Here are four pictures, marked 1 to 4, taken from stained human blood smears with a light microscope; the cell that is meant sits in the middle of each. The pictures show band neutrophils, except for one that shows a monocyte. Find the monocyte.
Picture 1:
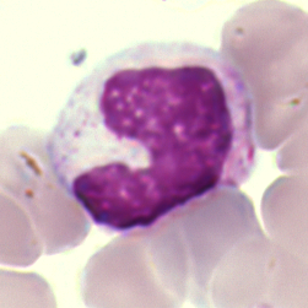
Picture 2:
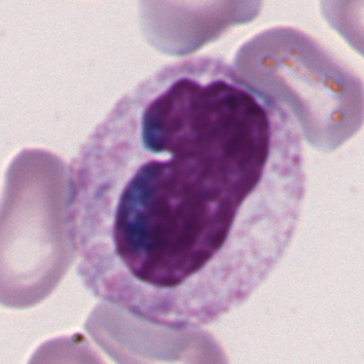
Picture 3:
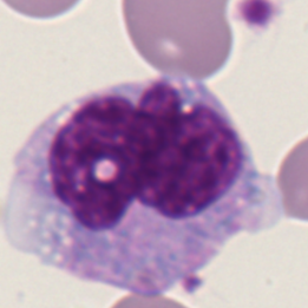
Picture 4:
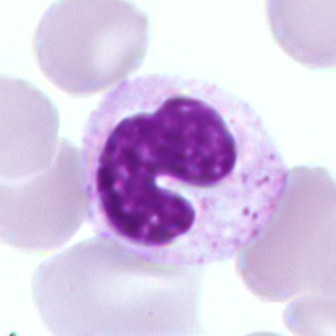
3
